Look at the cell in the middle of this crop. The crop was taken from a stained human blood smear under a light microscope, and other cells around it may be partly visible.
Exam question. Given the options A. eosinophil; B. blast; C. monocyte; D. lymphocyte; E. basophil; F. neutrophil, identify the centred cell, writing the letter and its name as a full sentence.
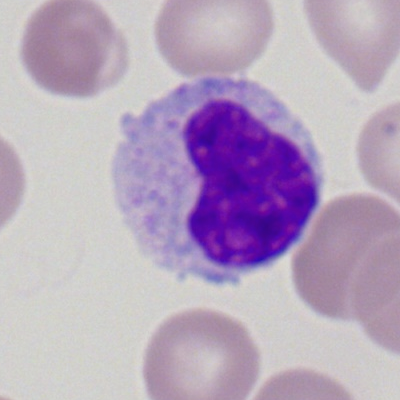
As the central cell is a lymphocyte, option D is correct.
